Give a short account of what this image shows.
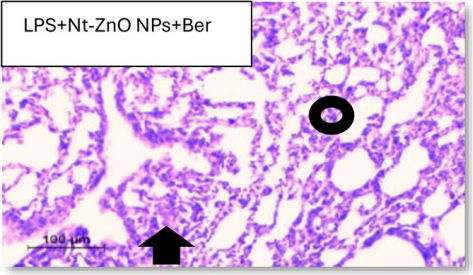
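This is lung tissue in which the alveoli are still recognisable, but their walls are no longer thin. Look at the pink septa: many are thickened and studded with small, dark purple nuclei, showing an inflammatory infiltrate within the alveolar walls. Where the cells gather most densely, toward the lower part of the field, the air spaces are squeezed and some are almost closed. Elsewhere, larger white air spaces remain, but their borders are irregular and some septa appear broken, so the even honeycomb of normal lung is disturbed. Compare the crowded, thick walls with the thin, delicate septa you would expect.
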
